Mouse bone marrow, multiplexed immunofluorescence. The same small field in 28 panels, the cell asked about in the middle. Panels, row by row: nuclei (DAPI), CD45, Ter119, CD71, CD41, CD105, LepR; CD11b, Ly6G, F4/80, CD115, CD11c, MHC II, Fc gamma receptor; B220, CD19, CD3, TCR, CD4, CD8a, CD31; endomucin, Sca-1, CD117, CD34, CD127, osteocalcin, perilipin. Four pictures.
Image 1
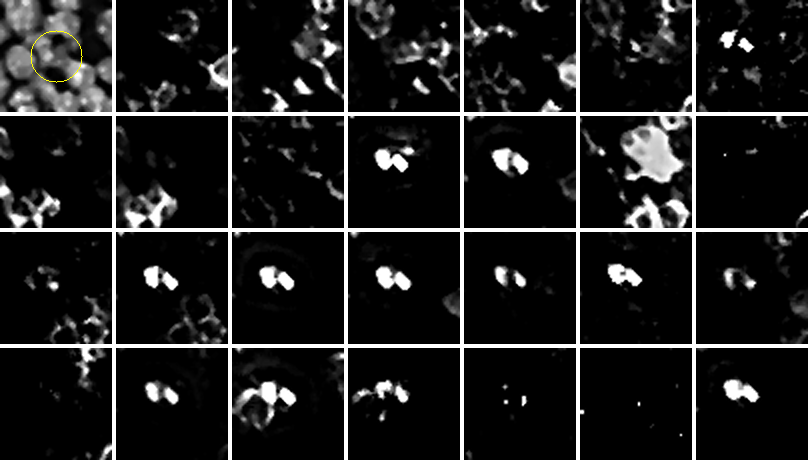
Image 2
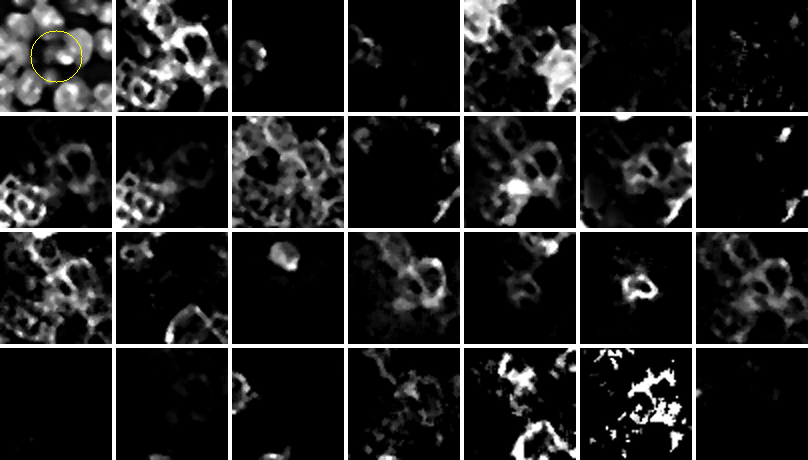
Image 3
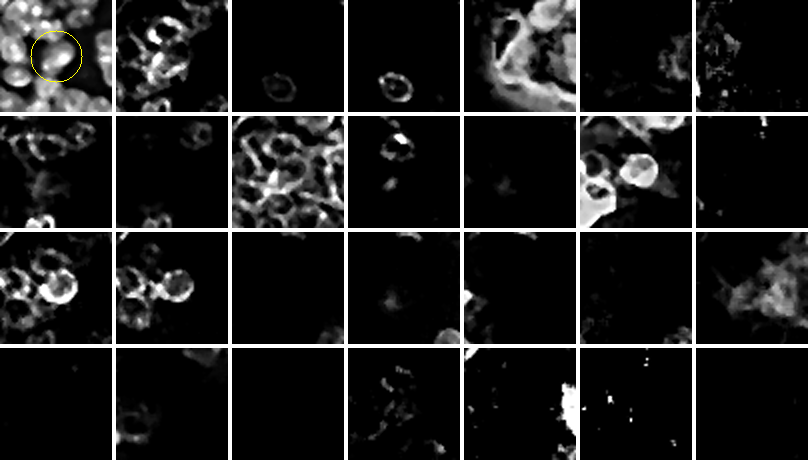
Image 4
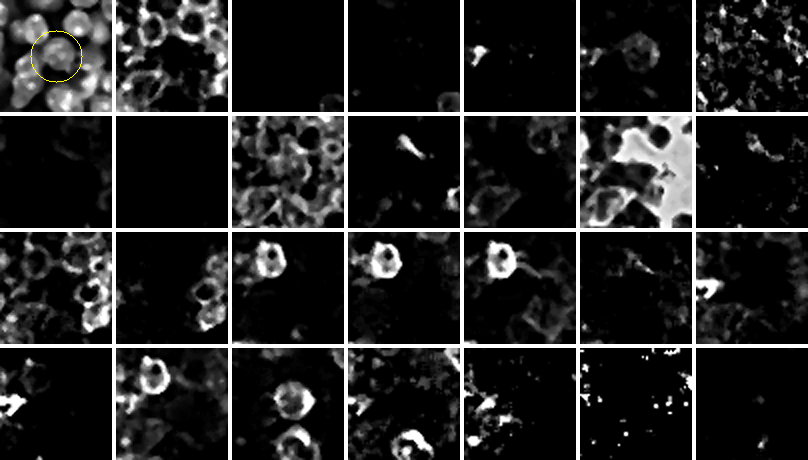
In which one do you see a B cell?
In picture 3.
